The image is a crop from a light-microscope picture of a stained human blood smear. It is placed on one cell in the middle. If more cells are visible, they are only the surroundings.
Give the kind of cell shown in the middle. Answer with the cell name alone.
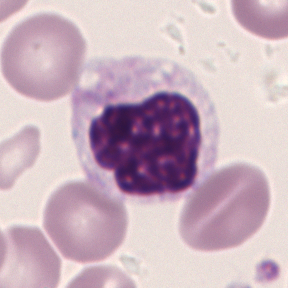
segmented neutrophil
